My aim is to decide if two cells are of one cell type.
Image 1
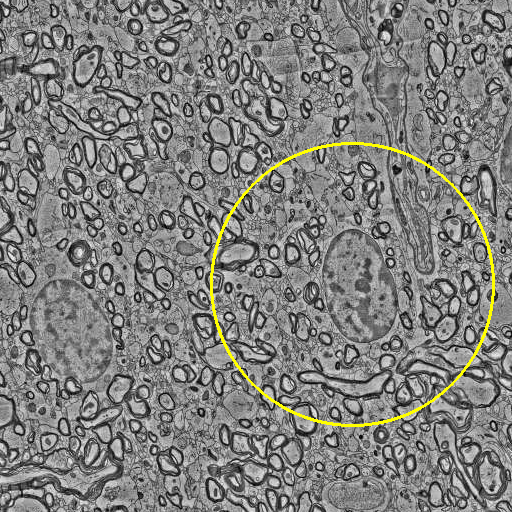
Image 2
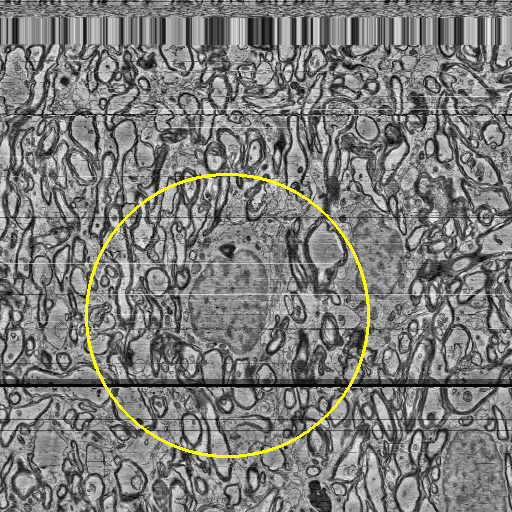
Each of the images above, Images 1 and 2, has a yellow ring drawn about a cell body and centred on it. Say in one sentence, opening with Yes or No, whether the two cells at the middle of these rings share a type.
No, in Images 1 and 2 the cells at the middle of the rings fall into two types.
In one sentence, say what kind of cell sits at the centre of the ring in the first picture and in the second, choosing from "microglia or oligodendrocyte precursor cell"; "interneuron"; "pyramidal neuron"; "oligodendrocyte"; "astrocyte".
The first picture's ringed cell is a microglial cell or oligodendrocyte precursor cell, while the second picture's is an oligodendrocyte.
